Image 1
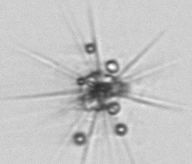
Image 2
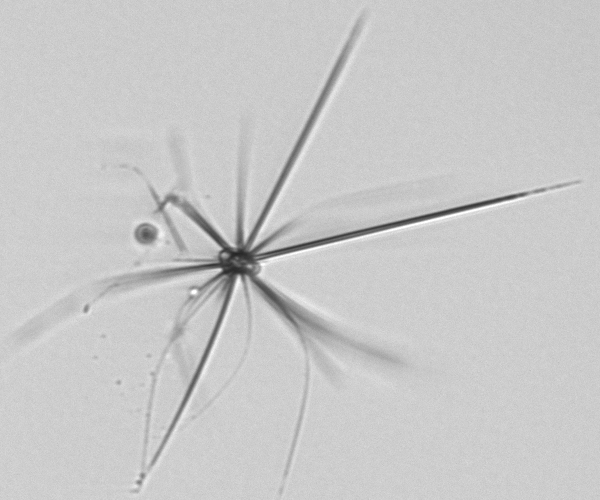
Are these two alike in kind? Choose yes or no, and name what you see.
Yes. Radiolarians.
